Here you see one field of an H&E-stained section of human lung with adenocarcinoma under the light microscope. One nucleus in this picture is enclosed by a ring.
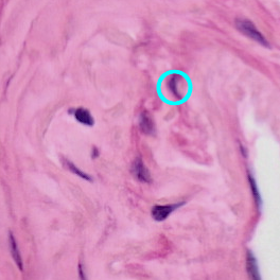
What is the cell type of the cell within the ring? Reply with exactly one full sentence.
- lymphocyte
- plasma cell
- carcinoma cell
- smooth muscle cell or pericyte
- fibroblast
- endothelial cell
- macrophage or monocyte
In the tissue under study, the cell within the ring is a smooth muscle cell or pericyte.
